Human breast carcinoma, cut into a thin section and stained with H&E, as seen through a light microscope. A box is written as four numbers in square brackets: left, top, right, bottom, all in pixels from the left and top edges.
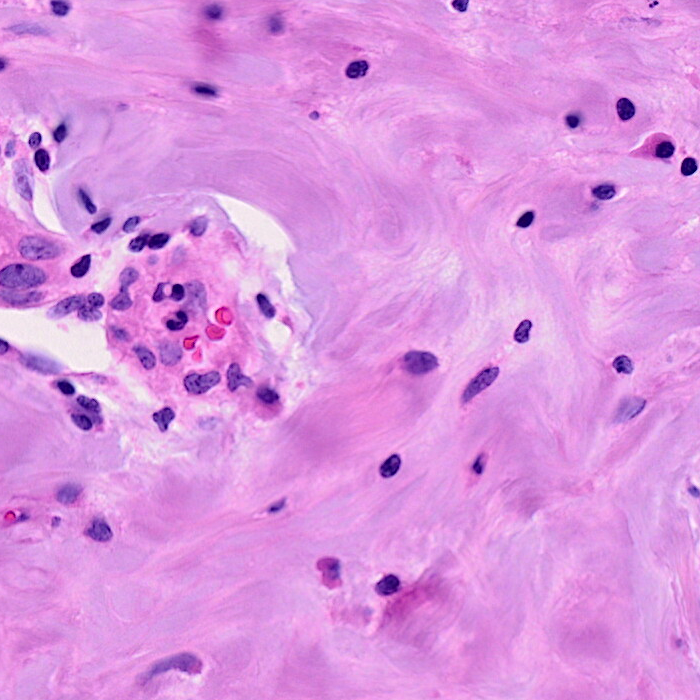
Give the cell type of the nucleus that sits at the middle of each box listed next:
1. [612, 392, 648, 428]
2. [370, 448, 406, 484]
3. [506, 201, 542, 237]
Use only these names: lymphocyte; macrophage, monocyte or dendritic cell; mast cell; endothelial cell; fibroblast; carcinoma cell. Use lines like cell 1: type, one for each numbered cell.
cell 1: fibroblast
cell 2: lymphocyte
cell 3: lymphocyte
